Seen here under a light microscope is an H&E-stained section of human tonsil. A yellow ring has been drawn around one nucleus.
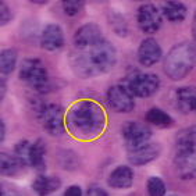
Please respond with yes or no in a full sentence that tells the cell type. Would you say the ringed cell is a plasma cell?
Yes, the identification of the ringed cell as a plasma cell stands.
